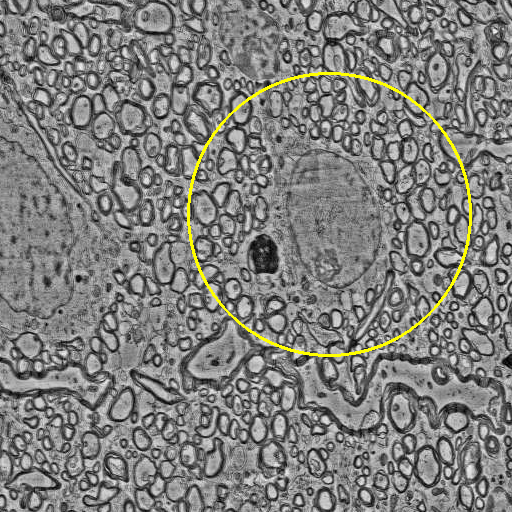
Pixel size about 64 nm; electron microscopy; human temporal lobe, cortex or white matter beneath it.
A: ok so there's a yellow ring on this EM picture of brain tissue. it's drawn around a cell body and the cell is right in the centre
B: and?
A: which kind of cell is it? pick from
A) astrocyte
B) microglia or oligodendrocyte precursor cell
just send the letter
A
